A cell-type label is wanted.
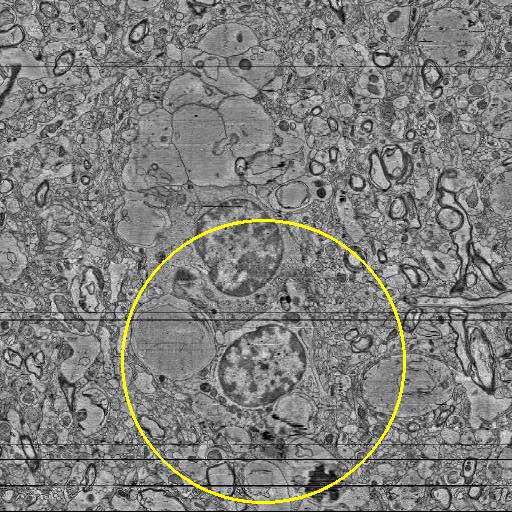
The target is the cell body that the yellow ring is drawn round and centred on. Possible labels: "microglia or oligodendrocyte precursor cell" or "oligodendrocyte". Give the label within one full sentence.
Of the labels offered, the cell in the middle of the yellow ring is a microglial cell or oligodendrocyte precursor cell.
